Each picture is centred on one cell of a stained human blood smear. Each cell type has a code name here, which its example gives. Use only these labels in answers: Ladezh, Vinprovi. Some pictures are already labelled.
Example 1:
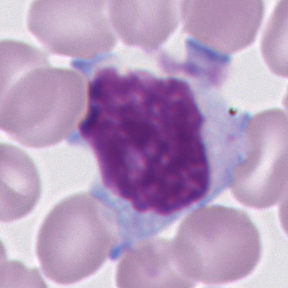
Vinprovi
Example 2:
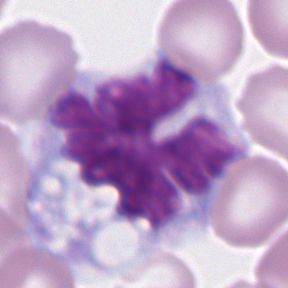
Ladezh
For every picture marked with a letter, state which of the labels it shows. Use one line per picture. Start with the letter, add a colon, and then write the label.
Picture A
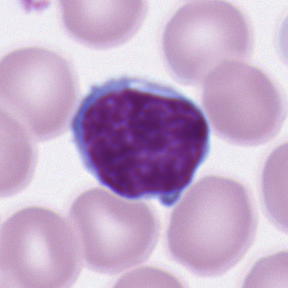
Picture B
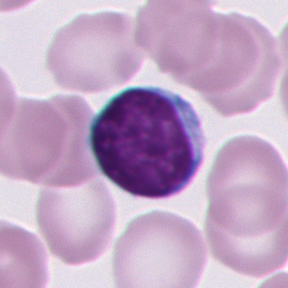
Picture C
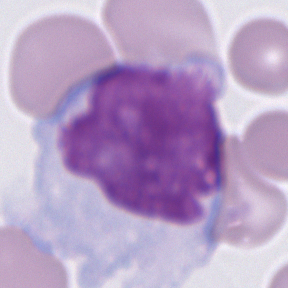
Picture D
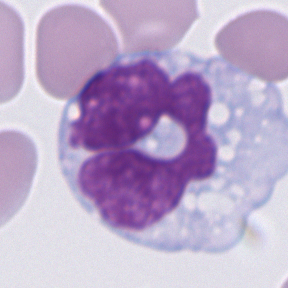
A: Vinprovi
B: Vinprovi
C: Ladezh
D: Ladezh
